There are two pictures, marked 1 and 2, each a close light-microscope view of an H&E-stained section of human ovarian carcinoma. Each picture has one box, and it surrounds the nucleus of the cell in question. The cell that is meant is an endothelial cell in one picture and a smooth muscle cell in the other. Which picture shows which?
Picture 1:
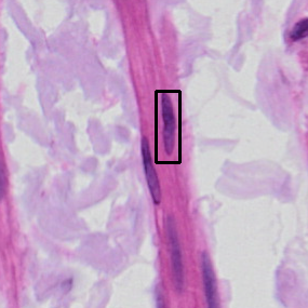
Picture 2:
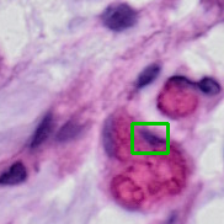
1: smooth muscle cell
2: endothelial cell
